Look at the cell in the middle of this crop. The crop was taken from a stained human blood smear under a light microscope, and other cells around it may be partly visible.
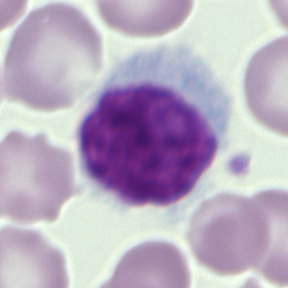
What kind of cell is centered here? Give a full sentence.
The cell the crop is centered on is a hairy cell.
